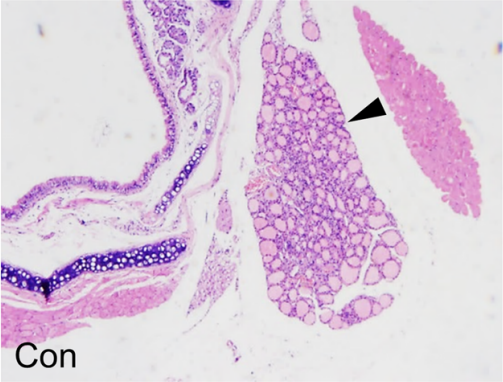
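A lobe of thyroid gland lies between the windpipe on the left and a band of pink skeletal muscle on the right. The lobe is made of many rounded follicles of varying size, each filled with pale pink colloid. The follicles are lined by a thin layer of purple-stained epithelial cells, and the larger follicles lie towards the outer margin. Little tissue separates neighbouring follicles.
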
